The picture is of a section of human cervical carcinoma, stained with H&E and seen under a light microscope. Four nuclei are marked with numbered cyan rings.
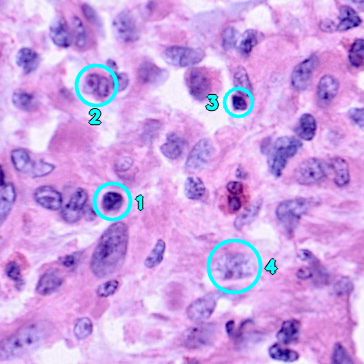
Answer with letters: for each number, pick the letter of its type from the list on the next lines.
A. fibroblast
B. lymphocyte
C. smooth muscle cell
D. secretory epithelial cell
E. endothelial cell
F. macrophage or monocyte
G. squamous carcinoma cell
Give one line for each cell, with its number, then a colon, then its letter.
1: B
2: F
3: B
4: A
